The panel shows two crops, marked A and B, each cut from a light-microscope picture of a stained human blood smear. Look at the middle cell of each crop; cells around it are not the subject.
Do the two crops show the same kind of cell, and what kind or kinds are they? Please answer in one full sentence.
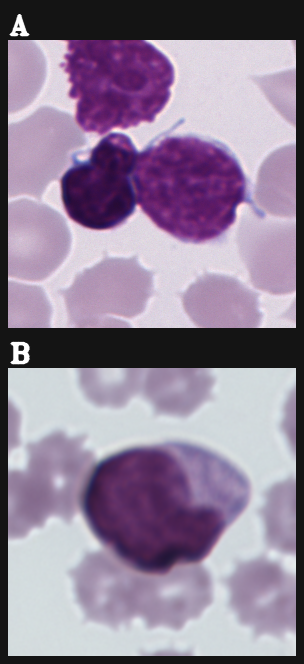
Yes, blasts are depicted in both crops.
